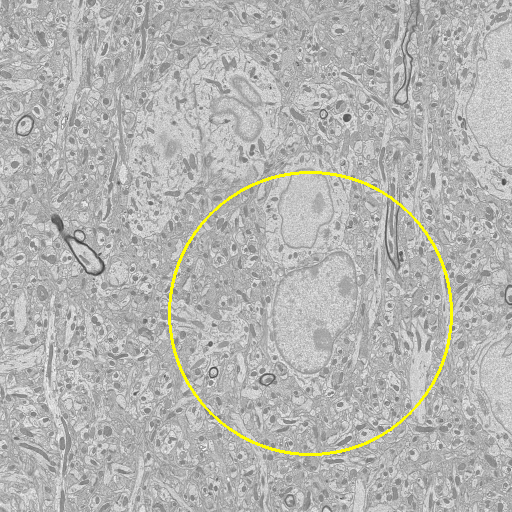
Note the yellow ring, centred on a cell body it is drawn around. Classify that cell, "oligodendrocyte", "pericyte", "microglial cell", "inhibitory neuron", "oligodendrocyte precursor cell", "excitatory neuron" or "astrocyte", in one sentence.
The cell the ring is centred on is an astrocyte.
